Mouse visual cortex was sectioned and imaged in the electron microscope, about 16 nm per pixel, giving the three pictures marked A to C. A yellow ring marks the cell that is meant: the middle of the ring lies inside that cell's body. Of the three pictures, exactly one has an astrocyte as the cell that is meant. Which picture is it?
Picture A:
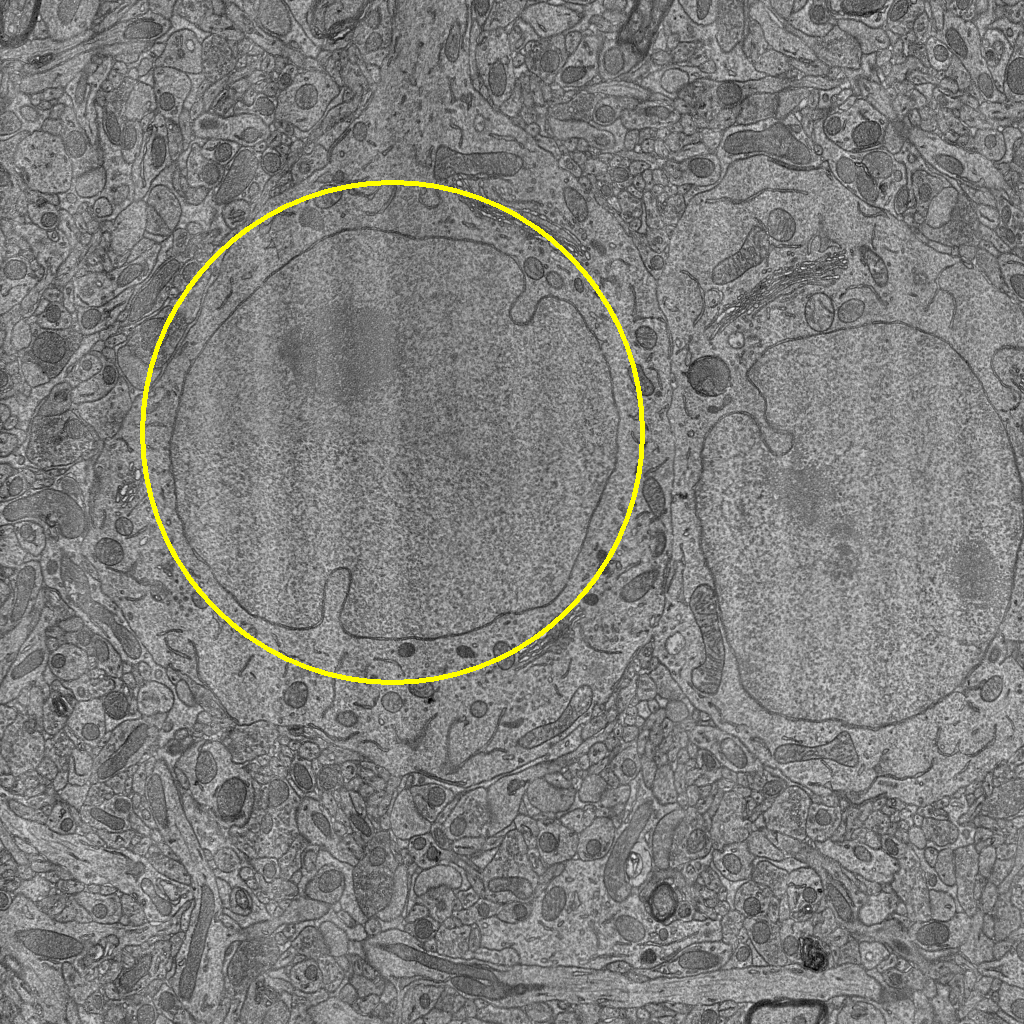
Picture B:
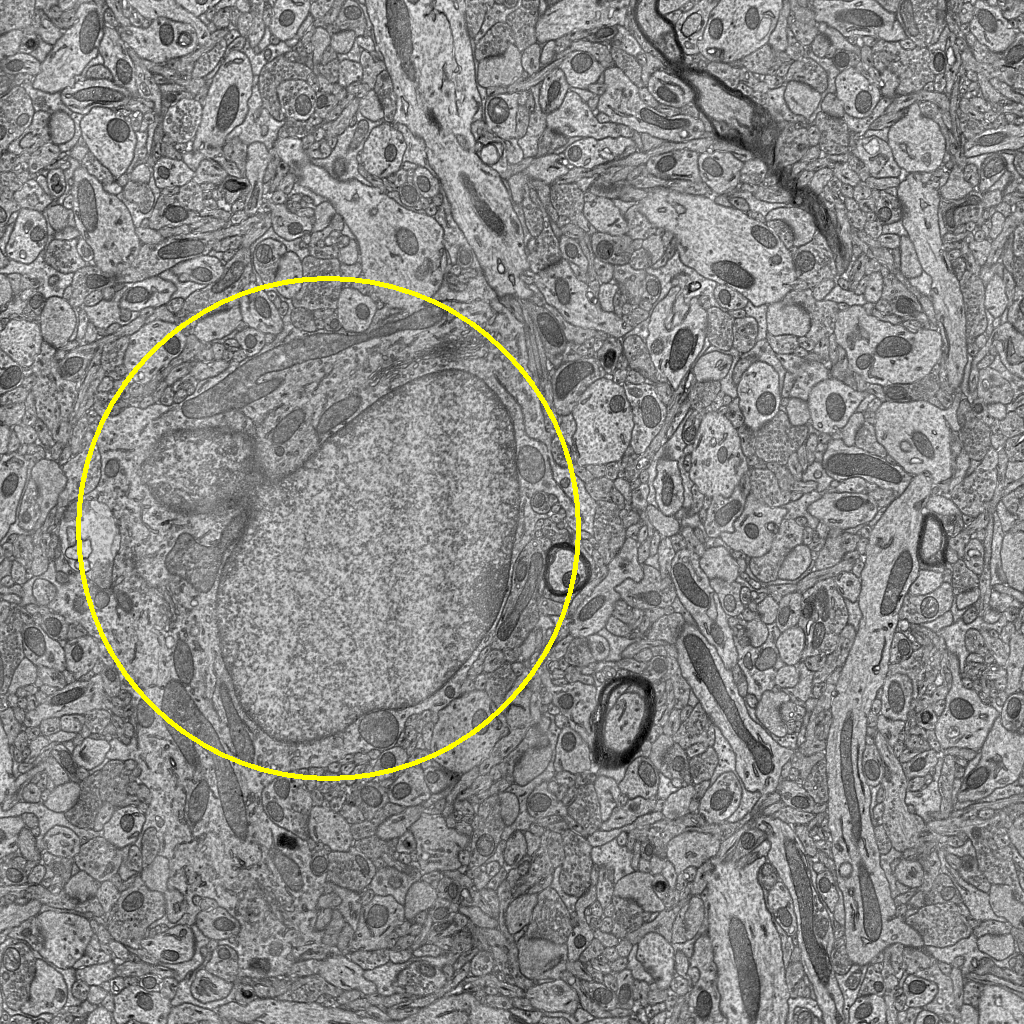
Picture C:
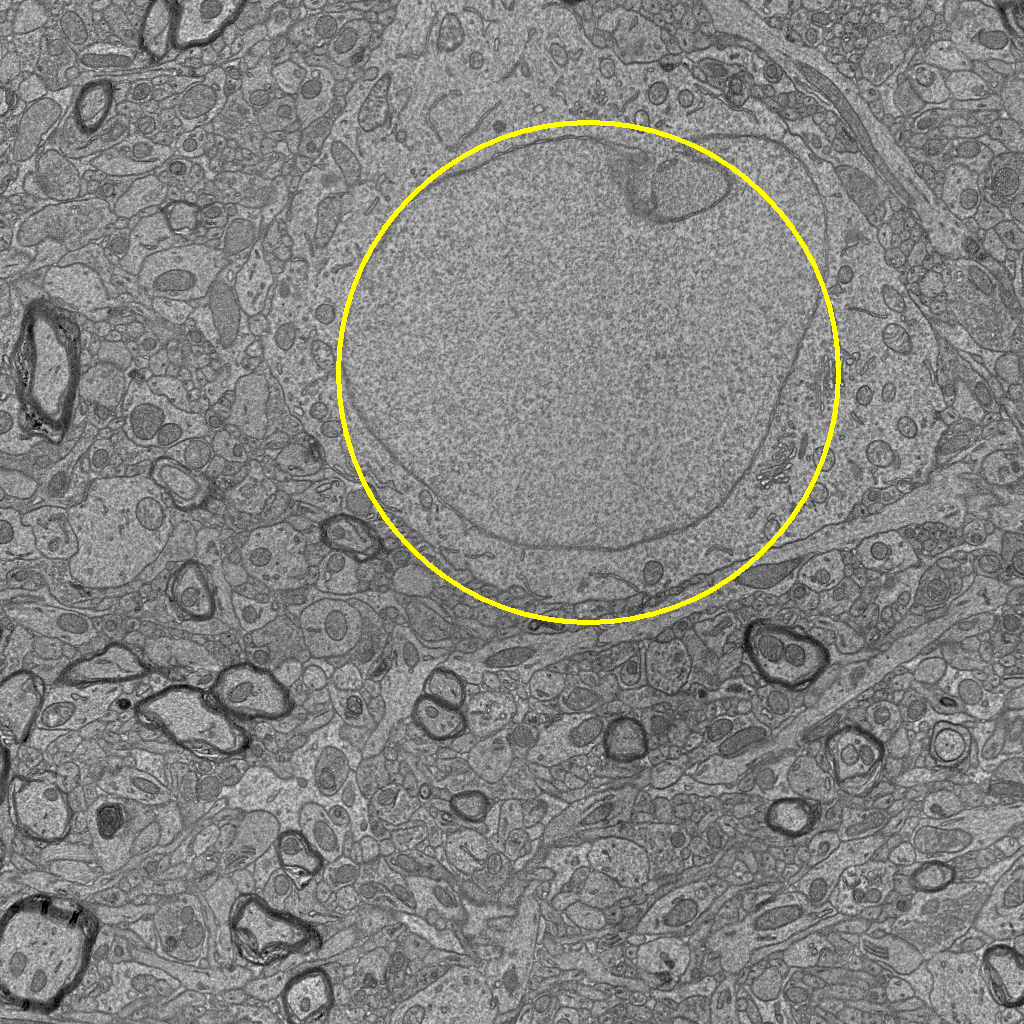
It is picture B that shows the astrocyte.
